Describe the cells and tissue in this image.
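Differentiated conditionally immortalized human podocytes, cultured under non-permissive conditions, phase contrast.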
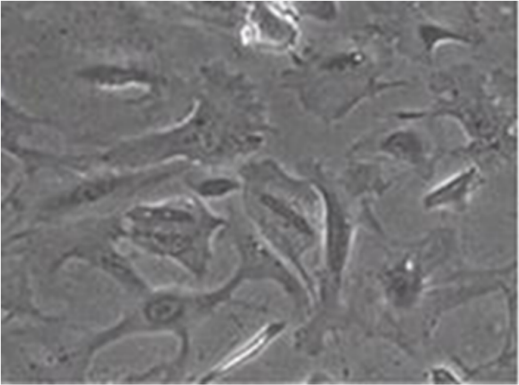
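The cells have irregular outlines; some are spread wide and polygonal, while others are drawn out into elongated shapes. Oval nuclei show as faint grey outlines within the flattened cell bodies. Bright halos run along the raised edges of some cells where they meet their neighbours.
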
